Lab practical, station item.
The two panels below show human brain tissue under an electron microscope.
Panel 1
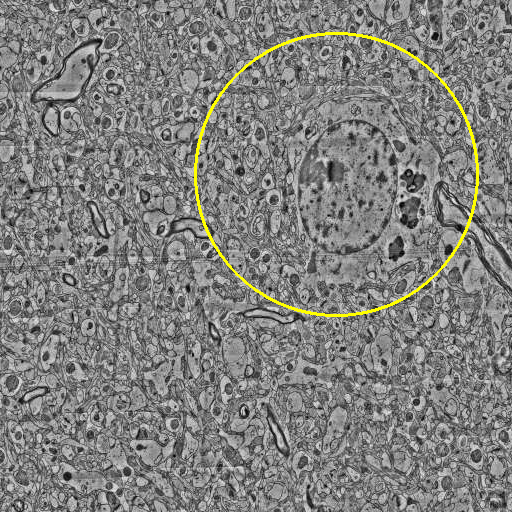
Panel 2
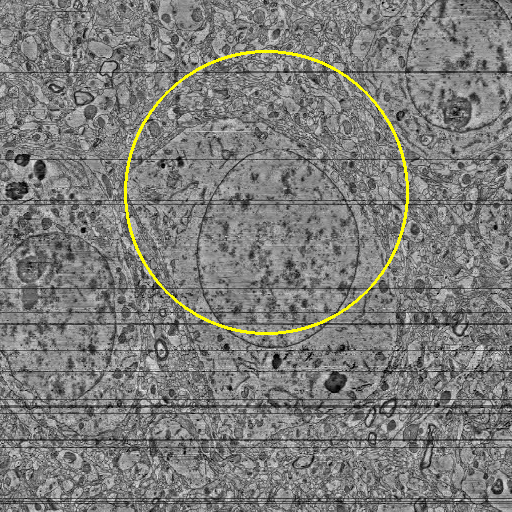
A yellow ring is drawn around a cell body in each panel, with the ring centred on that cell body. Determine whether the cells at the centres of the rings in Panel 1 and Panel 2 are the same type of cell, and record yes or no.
no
